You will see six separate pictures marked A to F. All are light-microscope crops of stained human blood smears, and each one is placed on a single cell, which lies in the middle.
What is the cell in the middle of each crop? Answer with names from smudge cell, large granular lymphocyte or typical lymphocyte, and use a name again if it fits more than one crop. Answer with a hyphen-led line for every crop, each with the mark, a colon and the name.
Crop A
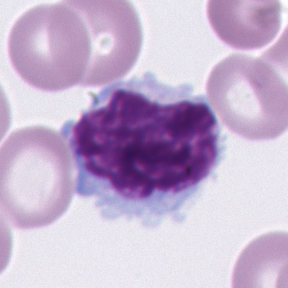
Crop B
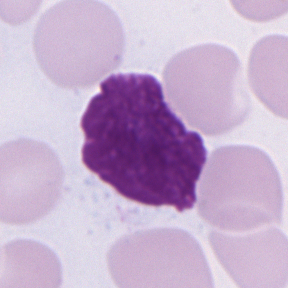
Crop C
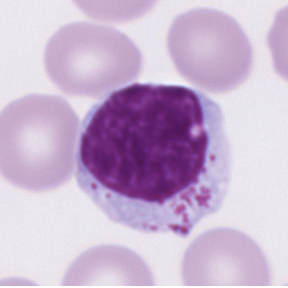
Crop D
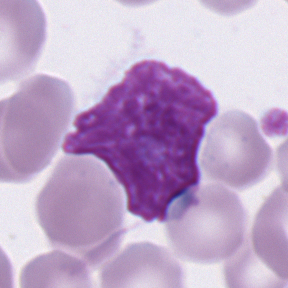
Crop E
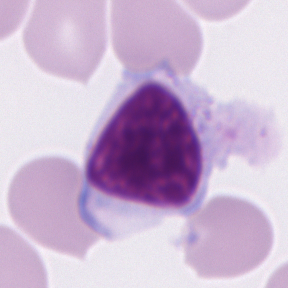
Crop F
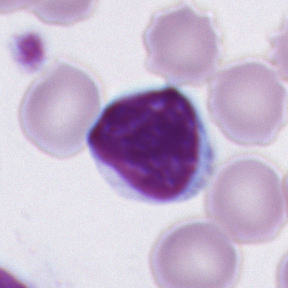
- A: typical lymphocyte
- B: smudge cell
- C: large granular lymphocyte
- D: smudge cell
- E: large granular lymphocyte
- F: typical lymphocyte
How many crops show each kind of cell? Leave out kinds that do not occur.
typical lymphocyte: 2
smudge cell: 2
large granular lymphocyte: 2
